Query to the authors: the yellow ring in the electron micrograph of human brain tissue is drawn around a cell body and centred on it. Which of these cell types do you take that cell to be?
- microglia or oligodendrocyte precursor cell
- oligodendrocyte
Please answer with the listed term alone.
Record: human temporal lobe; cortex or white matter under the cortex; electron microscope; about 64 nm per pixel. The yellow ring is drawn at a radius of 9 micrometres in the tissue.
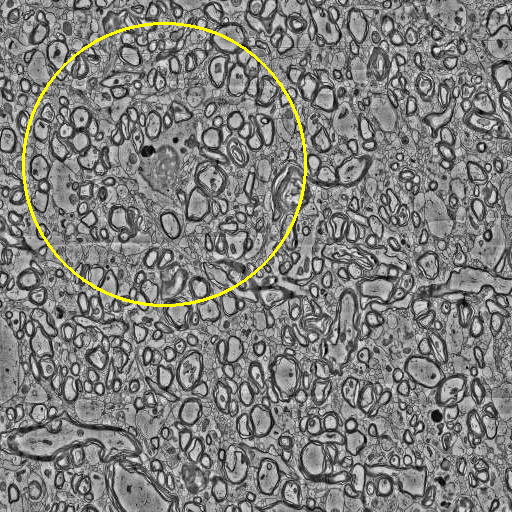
oligodendrocyte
